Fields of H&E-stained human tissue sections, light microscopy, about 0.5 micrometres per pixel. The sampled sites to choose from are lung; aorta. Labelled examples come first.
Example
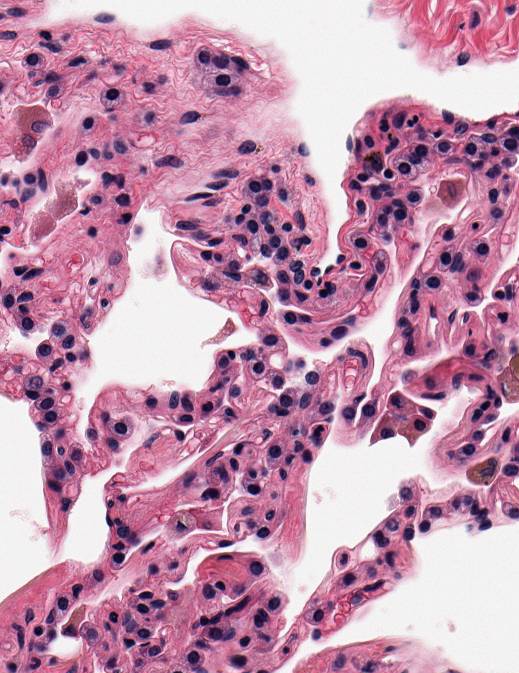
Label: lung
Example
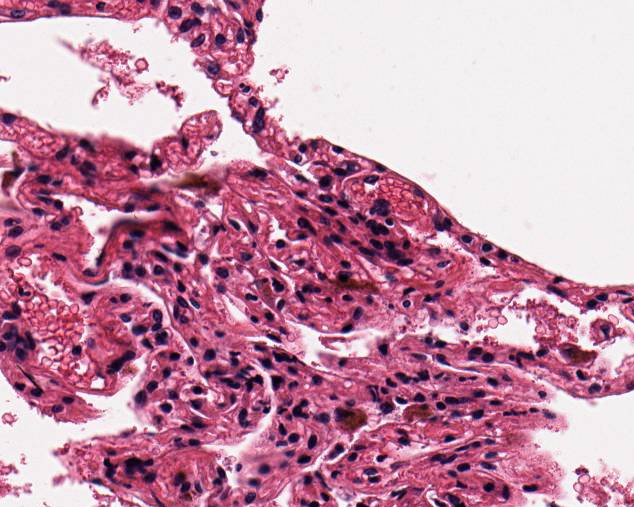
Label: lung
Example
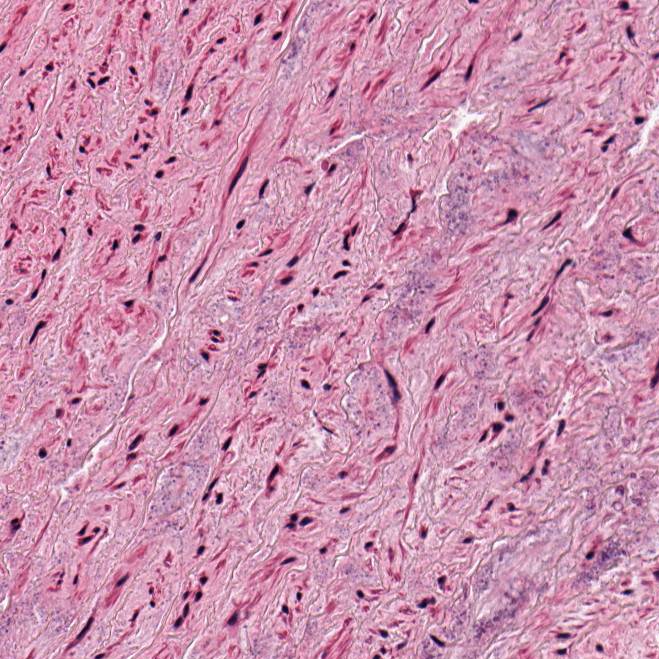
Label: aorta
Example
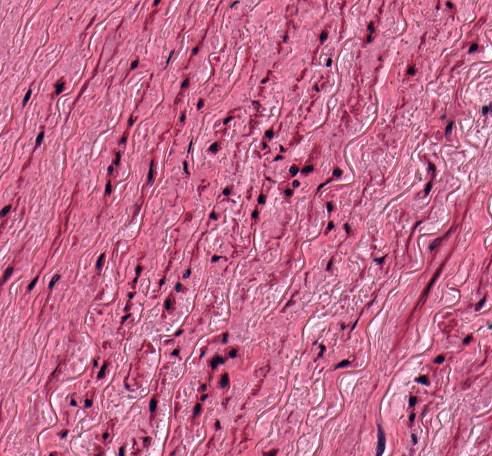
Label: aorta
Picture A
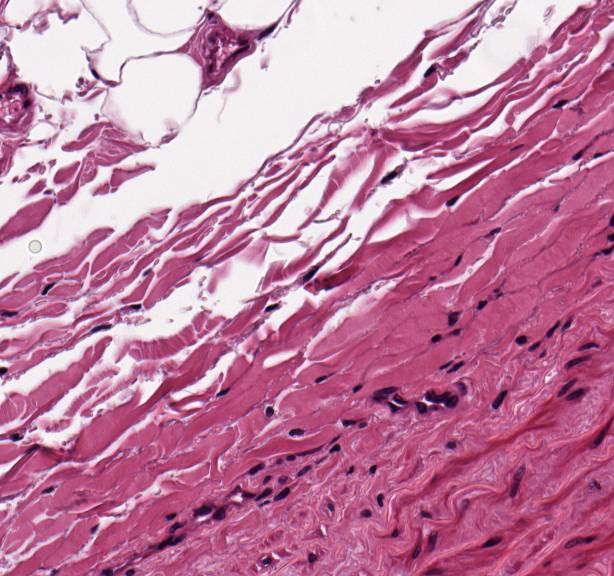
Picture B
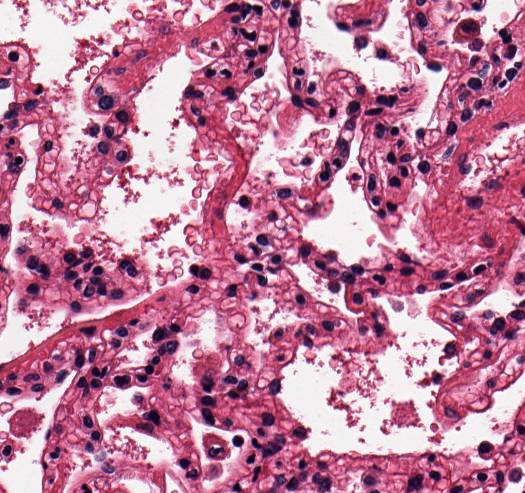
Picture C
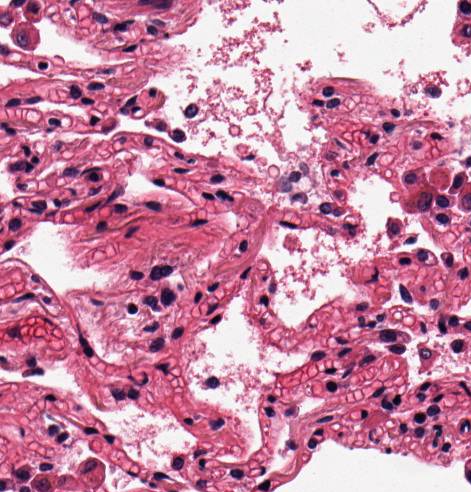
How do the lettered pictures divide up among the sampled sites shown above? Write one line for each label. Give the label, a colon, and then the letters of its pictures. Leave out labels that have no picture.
lung: B, C
aorta: A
